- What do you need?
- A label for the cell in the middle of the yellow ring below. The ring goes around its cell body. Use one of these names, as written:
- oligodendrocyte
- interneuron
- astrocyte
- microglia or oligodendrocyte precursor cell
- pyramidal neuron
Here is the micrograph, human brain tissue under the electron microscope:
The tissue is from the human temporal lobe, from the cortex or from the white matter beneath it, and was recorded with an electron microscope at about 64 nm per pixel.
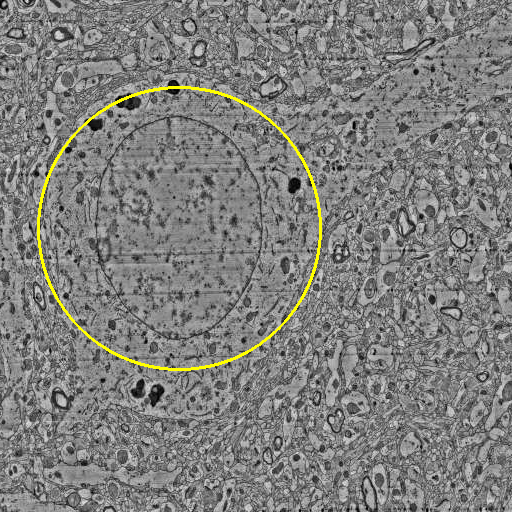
pyramidal neuron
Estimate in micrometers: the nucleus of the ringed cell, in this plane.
The nucleus of the ringed cell is approximately 14 by 11 micrometres in this plane.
